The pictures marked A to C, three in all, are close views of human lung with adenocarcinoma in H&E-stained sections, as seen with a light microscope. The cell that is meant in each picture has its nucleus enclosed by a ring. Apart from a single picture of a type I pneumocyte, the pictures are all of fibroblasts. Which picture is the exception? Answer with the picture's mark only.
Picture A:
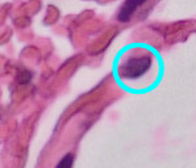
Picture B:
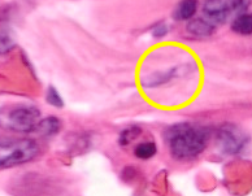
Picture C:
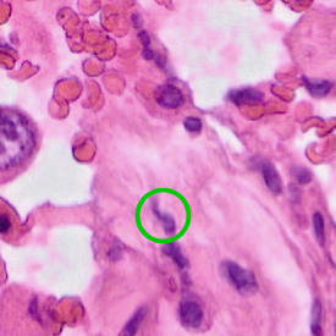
A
